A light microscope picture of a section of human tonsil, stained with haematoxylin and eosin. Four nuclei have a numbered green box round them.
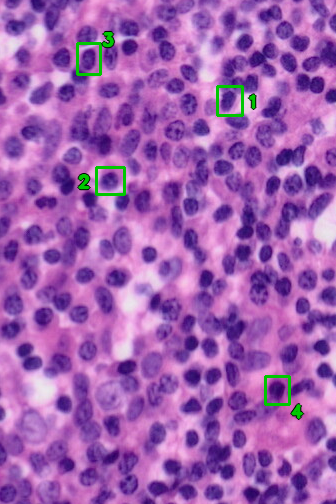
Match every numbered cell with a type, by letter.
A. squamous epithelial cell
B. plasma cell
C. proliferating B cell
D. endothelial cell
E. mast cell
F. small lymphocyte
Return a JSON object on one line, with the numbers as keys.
{"1": "F", "2": "B", "3": "B", "4": "D"}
